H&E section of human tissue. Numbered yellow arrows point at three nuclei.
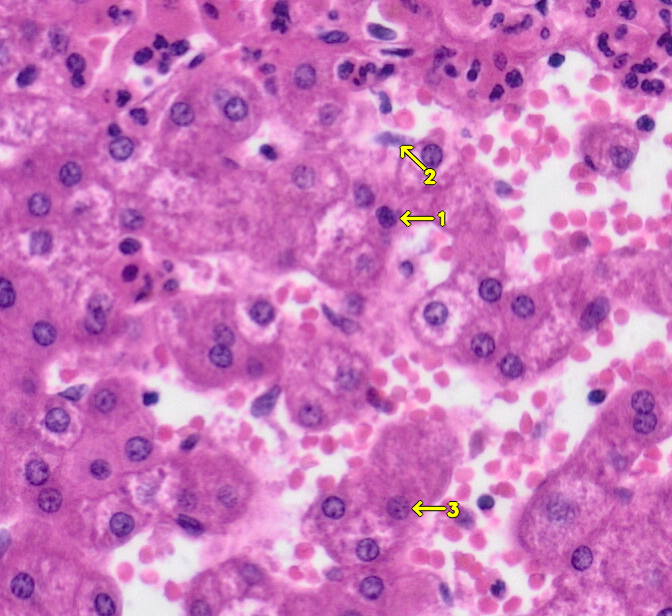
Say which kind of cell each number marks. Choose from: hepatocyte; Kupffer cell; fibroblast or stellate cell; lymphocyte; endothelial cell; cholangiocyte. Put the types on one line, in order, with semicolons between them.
fibroblast or stellate cell; endothelial cell; hepatocyte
